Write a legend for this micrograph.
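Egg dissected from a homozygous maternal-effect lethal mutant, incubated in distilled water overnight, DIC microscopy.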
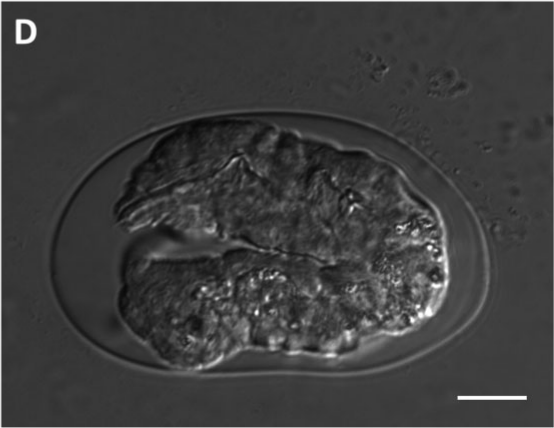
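Within a clear eggshell lies an elongated worm-shaped embryo folded back on itself, with a wide empty space between it and the shell. Its outer surface is uneven, with bulges and dents along its length, and one end tapers narrowly.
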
